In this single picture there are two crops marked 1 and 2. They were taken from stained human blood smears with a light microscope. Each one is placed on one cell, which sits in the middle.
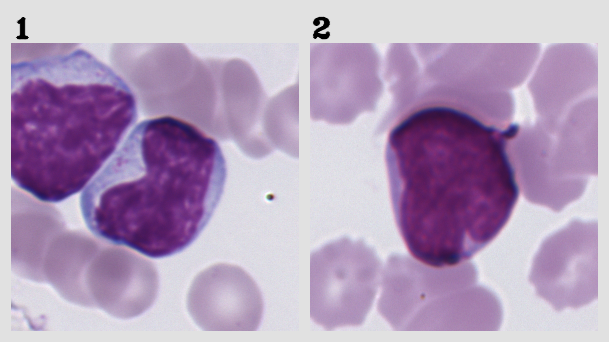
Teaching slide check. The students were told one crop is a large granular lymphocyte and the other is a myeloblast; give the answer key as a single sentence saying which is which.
At the centre of crop 1 lies a large granular lymphocyte, and at the centre of crop 2 lies a myeloblast.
